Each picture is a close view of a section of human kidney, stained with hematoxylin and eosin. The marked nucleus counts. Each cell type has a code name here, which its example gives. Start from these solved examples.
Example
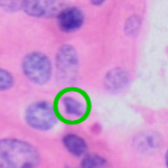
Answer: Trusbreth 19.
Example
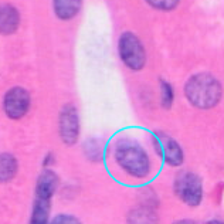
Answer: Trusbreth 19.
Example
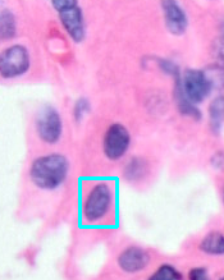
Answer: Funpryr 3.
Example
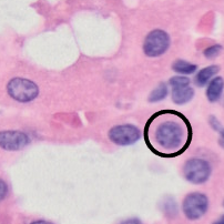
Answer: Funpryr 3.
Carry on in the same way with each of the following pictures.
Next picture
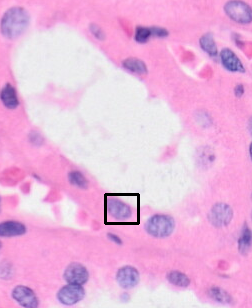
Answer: Funpryr 3.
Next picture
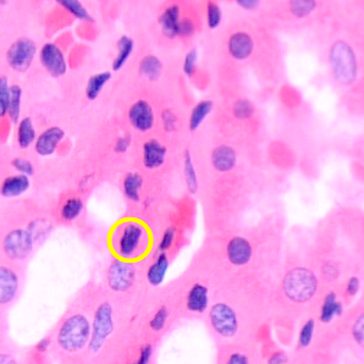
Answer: Funpryr 3.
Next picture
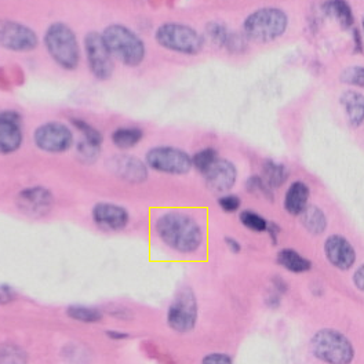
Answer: Funpryr 3.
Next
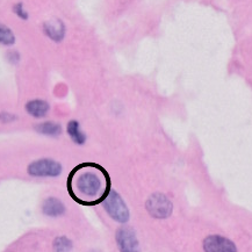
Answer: Trusbreth 19.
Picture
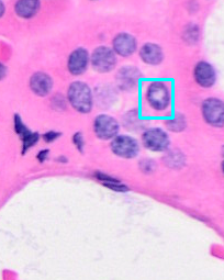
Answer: Trusbreth 19.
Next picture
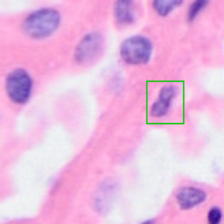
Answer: Funpryr 3.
